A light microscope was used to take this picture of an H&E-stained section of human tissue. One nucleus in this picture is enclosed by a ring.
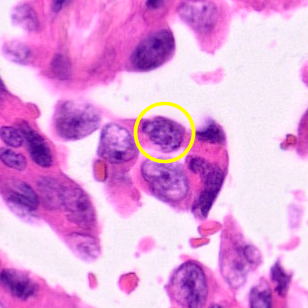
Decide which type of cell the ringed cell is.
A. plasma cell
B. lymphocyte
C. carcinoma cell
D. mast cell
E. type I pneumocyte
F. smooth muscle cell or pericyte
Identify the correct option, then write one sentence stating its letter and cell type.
Here the ringed cell is a carcinoma cell; pick option C.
